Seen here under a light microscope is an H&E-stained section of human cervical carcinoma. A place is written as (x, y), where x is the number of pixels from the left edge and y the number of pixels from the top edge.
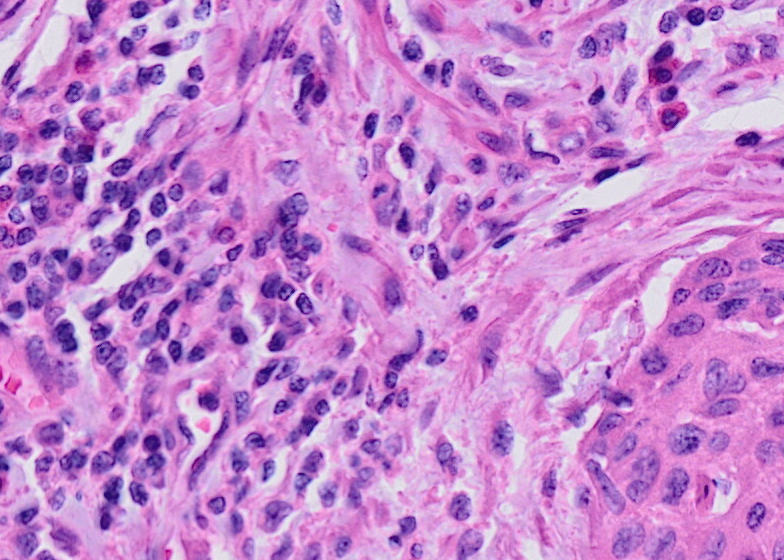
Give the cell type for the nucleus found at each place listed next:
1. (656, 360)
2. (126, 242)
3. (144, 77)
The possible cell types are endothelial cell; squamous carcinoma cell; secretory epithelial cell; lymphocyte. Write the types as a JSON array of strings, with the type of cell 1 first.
["squamous carcinoma cell", "lymphocyte", "lymphocyte"]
